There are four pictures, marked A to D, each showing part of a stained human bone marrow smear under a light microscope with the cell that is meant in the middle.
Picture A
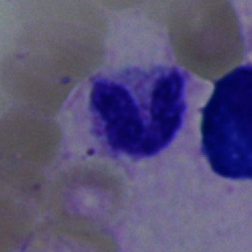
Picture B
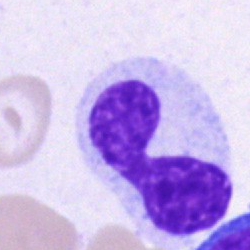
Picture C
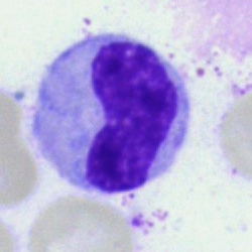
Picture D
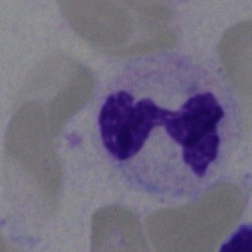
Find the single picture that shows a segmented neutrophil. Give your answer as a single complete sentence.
It is picture D that shows the segmented neutrophil.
